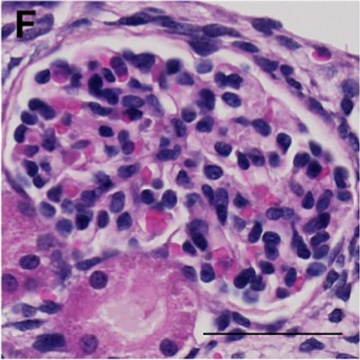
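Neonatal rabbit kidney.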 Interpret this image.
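A mature glomerulus fills most of the view, a large rounded capillary tuft lying within a clear urinary space bounded by a thin capsule of flattened cells. The tuft is divided into lobules, and many open capillary lumens hold bright red blood cells. Small dark purple nuclei are scattered throughout the tuft rather than forming a continuous rim. Pink-staining tubular tissue borders the glomerulus.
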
